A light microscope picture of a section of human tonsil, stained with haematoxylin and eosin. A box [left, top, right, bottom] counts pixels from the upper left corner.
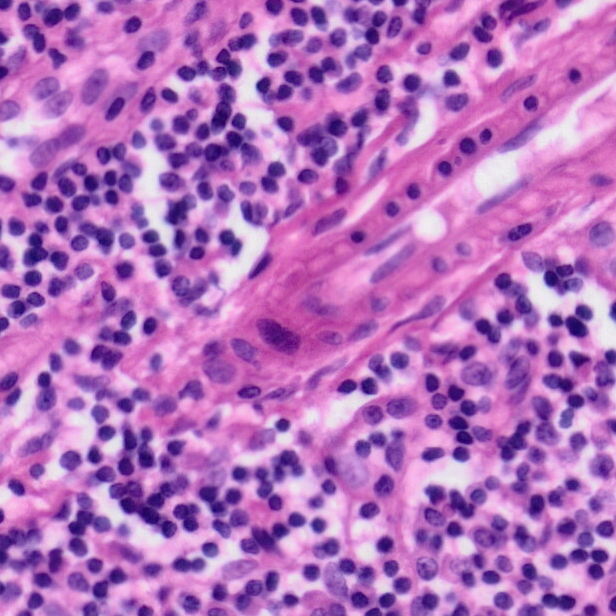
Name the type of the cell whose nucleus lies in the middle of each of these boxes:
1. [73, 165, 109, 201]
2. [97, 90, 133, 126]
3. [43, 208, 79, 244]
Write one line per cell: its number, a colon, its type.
1: small lymphocyte
2: endothelial cell
3: small lymphocyte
